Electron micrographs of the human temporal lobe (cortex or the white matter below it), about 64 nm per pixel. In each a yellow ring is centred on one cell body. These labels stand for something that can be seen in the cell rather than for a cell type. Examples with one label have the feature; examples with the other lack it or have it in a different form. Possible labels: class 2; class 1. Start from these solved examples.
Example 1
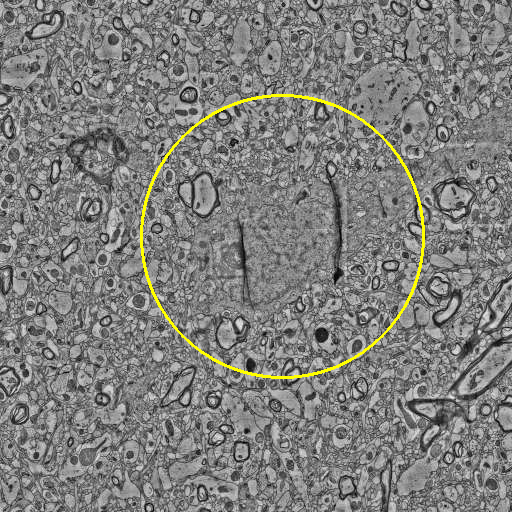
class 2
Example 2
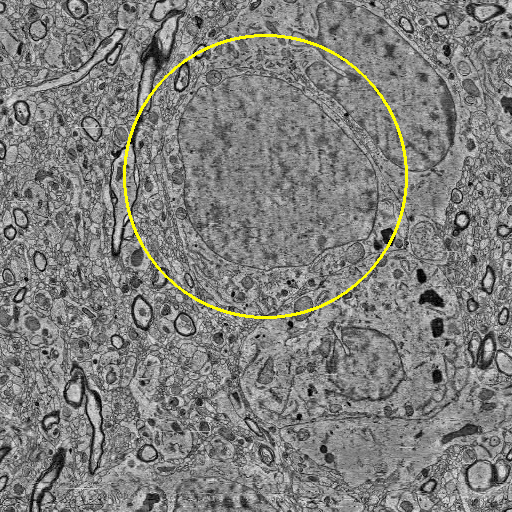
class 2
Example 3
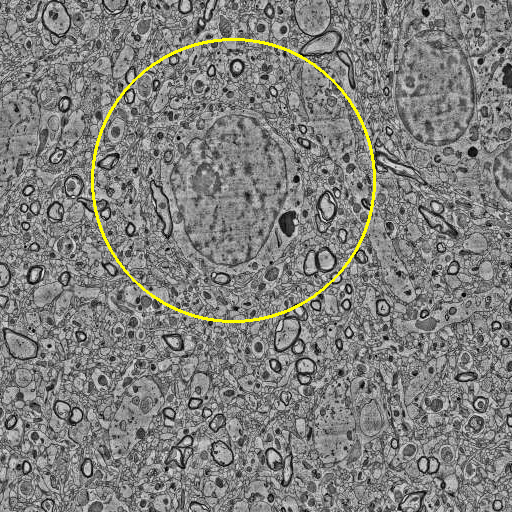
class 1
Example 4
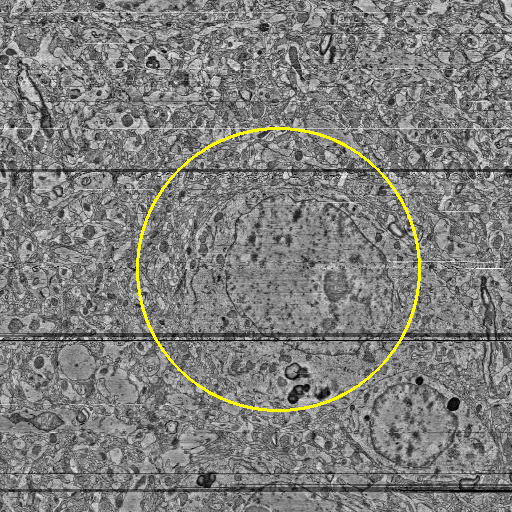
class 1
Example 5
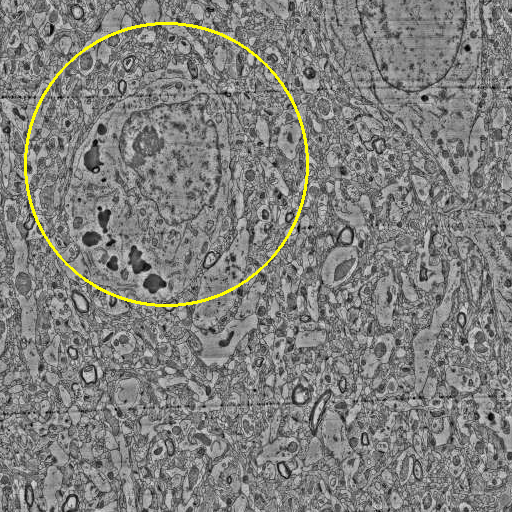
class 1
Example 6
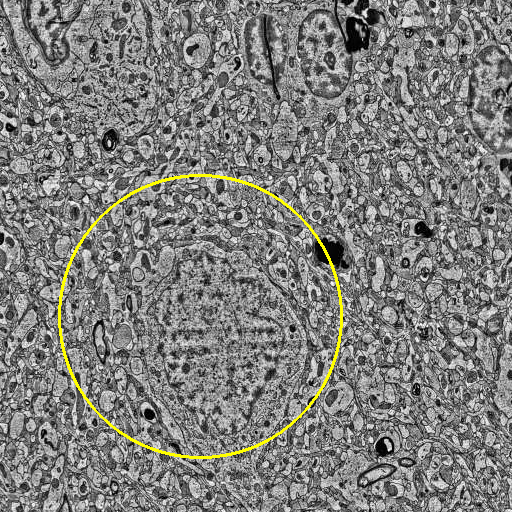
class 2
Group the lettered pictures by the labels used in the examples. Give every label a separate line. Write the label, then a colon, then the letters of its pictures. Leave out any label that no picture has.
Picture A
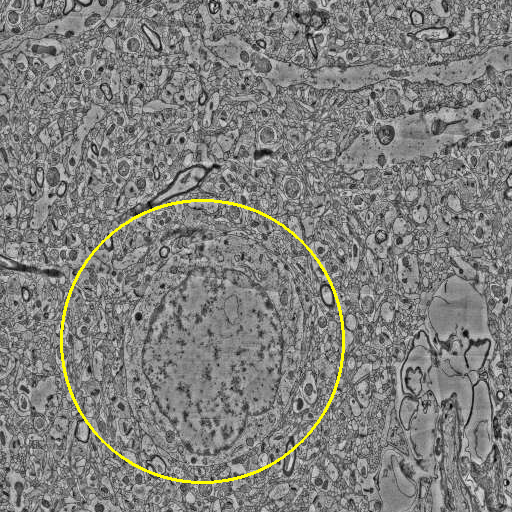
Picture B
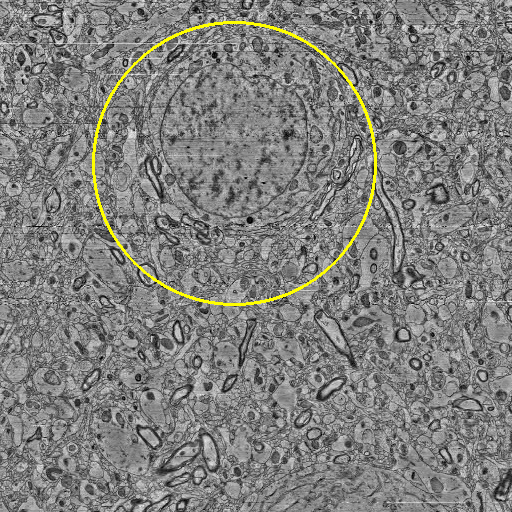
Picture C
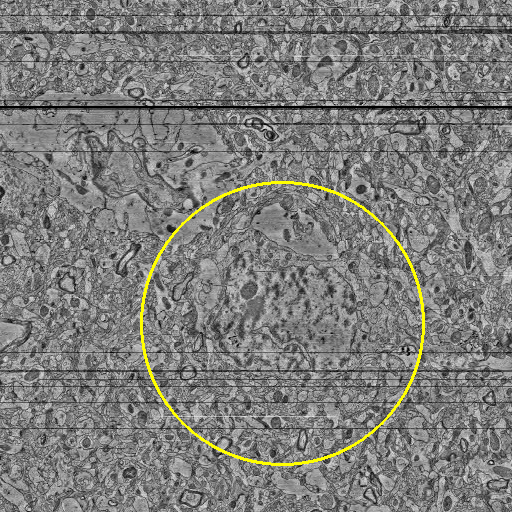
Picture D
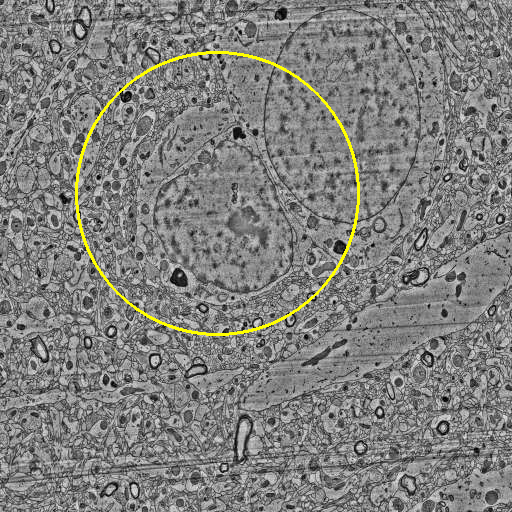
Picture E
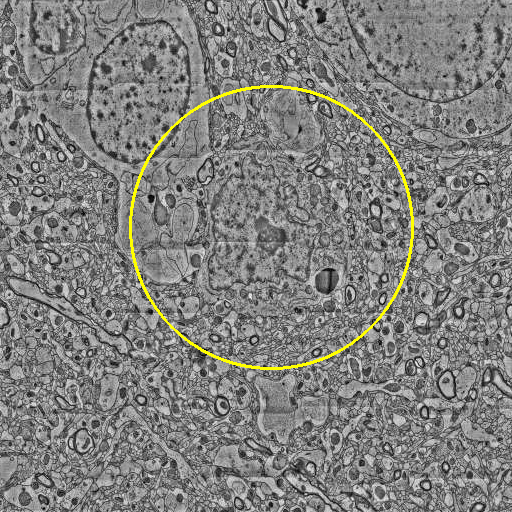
class 2: A, B
class 1: C, D, E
